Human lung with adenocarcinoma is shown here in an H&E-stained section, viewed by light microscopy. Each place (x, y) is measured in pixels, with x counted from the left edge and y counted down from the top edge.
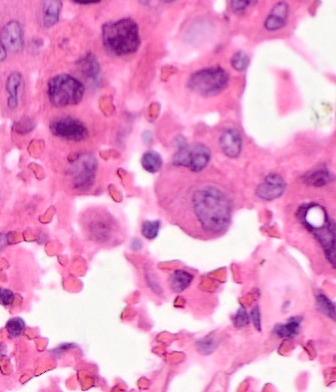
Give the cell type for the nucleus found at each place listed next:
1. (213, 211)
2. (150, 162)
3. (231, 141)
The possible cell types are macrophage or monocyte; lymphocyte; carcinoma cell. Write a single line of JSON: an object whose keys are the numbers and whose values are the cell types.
{"1": "carcinoma cell", "2": "lymphocyte", "3": "macrophage or monocyte"}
